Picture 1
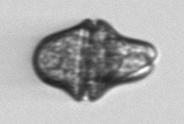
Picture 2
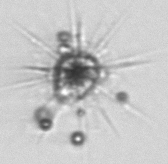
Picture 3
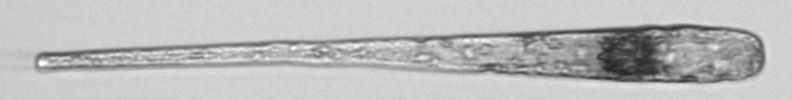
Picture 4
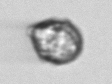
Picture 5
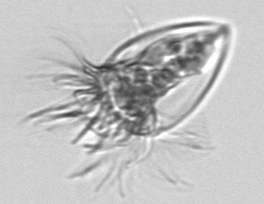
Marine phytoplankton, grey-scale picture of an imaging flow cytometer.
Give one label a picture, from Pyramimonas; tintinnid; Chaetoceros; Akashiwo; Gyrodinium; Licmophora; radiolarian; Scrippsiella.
(1) Akashiwo
(2) radiolarian
(3) Licmophora
(4) Scrippsiella
(5) tintinnid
